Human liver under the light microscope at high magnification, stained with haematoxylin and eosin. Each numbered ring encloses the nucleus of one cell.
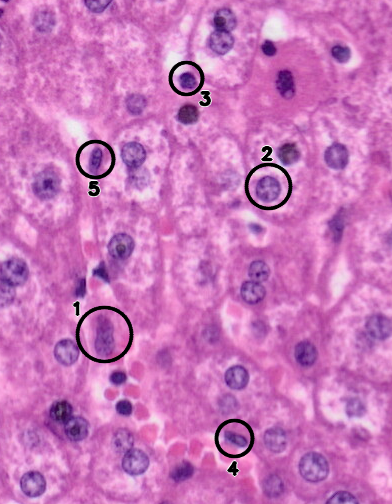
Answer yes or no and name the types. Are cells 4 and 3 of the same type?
No, not so; cell 4 is an endothelial cell and cell 3 is a lymphocyte.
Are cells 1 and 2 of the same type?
No, rather, cell 1 is a Kupffer cell and cell 2 is a hepatocyte.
